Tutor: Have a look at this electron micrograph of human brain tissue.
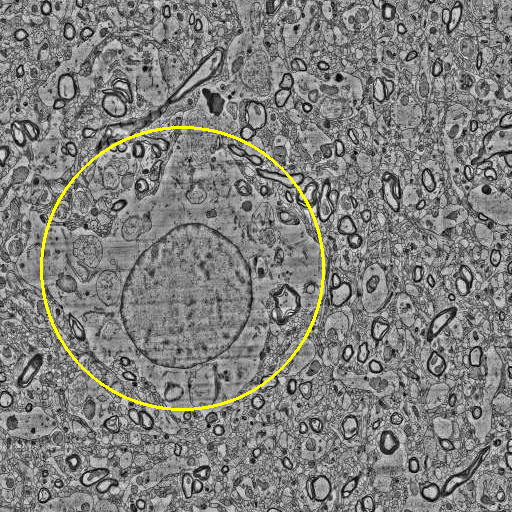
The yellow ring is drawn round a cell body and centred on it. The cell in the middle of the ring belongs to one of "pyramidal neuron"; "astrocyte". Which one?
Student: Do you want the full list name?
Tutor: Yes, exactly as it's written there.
astrocyte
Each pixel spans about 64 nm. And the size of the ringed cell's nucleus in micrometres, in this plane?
In this plane the nucleus measures roughly 9 micrometres across.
